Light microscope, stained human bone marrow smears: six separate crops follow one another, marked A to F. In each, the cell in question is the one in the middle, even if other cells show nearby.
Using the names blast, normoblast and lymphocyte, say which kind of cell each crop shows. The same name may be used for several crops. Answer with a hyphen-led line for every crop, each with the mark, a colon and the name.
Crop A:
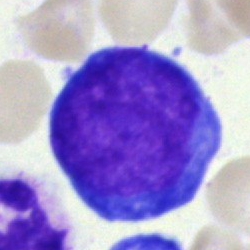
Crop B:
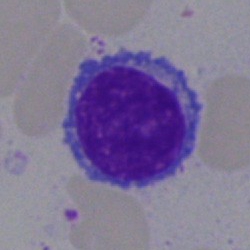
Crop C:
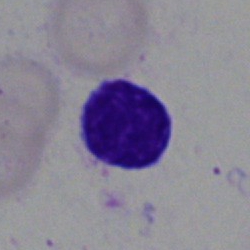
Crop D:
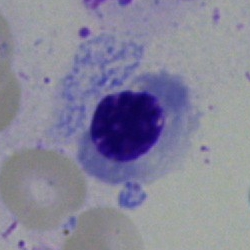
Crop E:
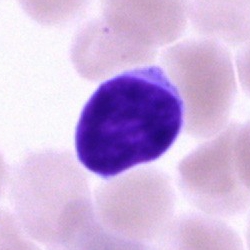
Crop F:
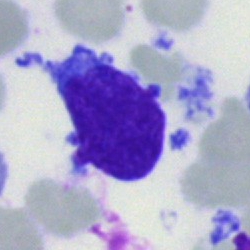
- A: blast
- B: lymphocyte
- C: lymphocyte
- D: normoblast
- E: lymphocyte
- F: blast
